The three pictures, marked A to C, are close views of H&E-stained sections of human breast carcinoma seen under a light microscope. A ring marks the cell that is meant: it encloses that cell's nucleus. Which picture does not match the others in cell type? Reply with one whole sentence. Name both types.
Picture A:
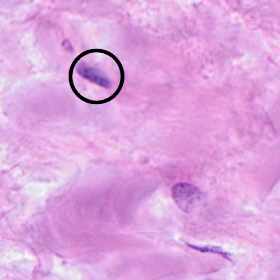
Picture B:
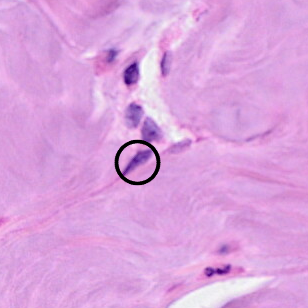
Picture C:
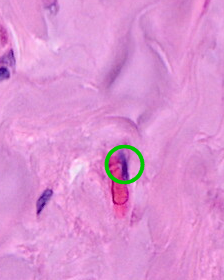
Unlike the rest, which show fibroblasts, picture C shows an endothelial cell.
